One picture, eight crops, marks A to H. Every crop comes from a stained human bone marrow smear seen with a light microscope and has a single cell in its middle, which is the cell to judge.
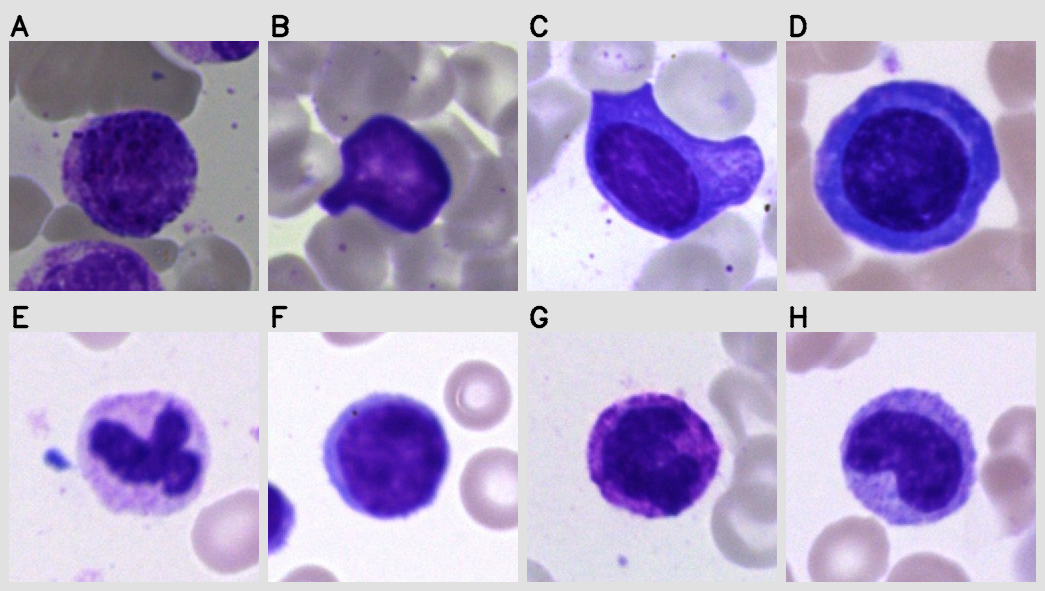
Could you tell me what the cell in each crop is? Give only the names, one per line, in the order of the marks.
basophil
lymphocyte
plasma cell
plasma cell
segmented neutrophil
lymphocyte
basophil
metamyelocyte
